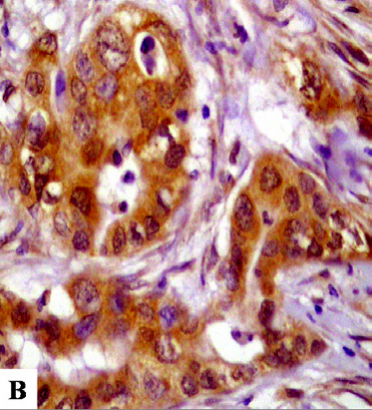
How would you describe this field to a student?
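Nests of malignant glandular epithelial cells lie within a fibrous stroma. The tumour cells are large, with enlarged oval to round nuclei, open chromatin and visible nucleoli, and ample cytoplasm. Their cytoplasm is stained diffusely brown, and many nuclei also appear brownish. The cells are arranged in irregular glandular clusters around small lumina, some containing a detached cell. Between the nests runs pale stroma with slender spindle-shaped nuclei stained blue and without brown stain.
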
